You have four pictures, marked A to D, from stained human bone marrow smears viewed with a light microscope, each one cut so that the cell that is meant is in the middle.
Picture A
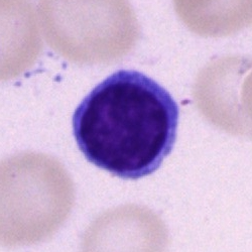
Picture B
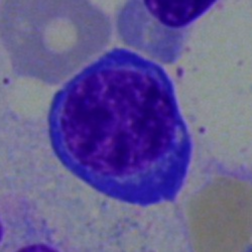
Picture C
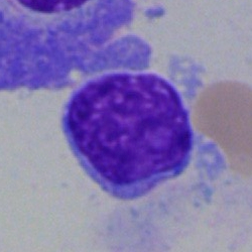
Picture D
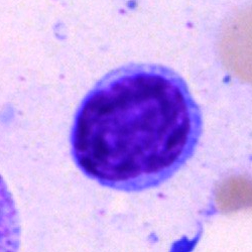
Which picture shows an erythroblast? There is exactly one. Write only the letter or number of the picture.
B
